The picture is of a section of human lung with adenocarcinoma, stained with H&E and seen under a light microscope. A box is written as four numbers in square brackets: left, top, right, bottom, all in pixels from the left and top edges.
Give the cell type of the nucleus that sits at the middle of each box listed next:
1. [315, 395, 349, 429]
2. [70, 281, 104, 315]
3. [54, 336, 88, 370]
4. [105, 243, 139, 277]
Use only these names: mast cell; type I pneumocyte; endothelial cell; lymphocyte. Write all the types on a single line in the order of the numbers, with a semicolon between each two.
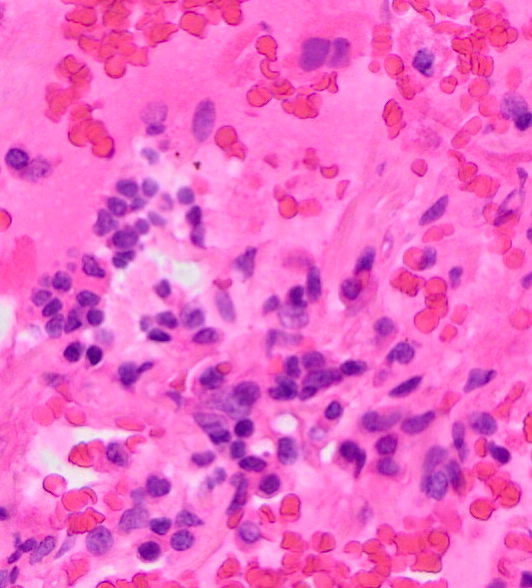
mast cell; lymphocyte; lymphocyte; lymphocyte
